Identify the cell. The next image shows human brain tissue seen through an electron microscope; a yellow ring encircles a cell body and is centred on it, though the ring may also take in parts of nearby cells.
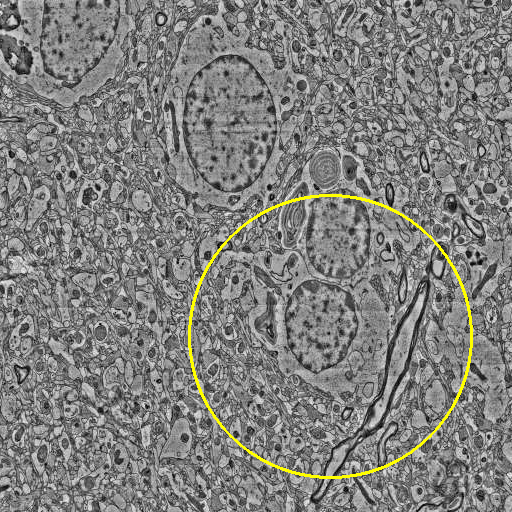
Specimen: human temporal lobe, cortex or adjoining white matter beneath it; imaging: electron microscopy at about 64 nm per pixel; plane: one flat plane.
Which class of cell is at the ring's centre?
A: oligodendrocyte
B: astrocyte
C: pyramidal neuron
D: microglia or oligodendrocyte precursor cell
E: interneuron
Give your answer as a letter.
B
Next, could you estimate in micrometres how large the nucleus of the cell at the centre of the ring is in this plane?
The nucleus has a long axis of about 6 micrometres and a short axis of about 5 micrometres in this plane.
